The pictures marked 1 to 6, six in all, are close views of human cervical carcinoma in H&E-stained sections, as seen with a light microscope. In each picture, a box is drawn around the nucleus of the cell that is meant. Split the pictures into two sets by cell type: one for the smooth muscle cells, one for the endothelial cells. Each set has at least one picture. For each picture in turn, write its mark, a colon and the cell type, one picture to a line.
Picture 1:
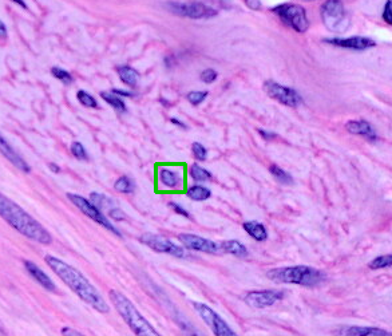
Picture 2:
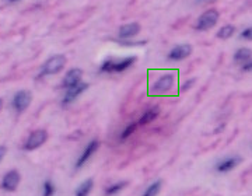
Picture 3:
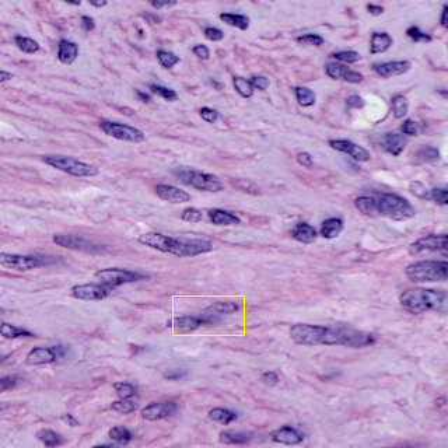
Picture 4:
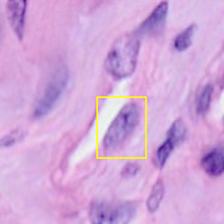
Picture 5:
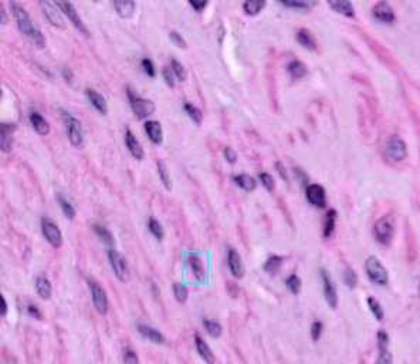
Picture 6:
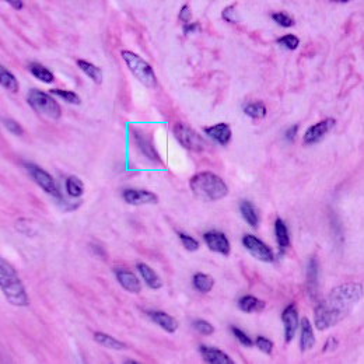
1: smooth muscle cell
2: smooth muscle cell
3: smooth muscle cell
4: endothelial cell
5: smooth muscle cell
6: endothelial cell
